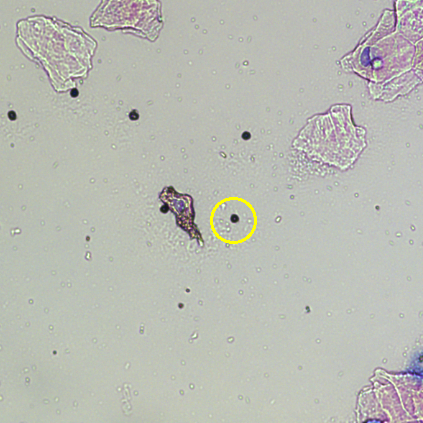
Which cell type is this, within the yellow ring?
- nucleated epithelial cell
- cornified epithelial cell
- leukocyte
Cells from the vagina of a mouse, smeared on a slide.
Within the ring is a leukocyte.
